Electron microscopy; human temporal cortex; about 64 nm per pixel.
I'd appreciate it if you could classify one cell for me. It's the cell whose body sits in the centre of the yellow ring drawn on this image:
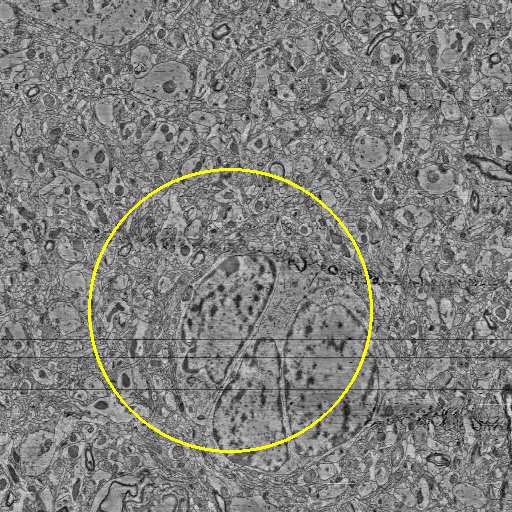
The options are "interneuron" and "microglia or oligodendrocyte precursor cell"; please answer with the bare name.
microglia or oligodendrocyte precursor cell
